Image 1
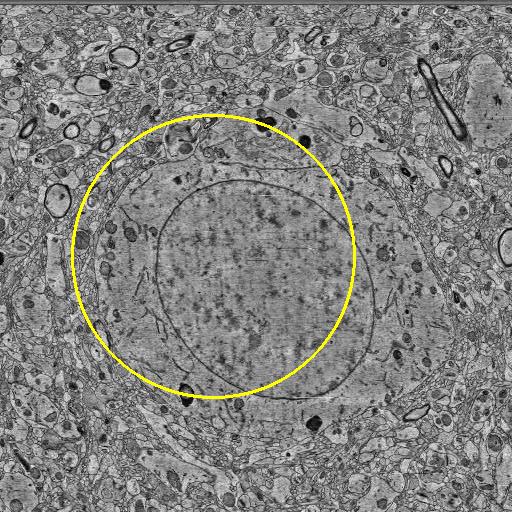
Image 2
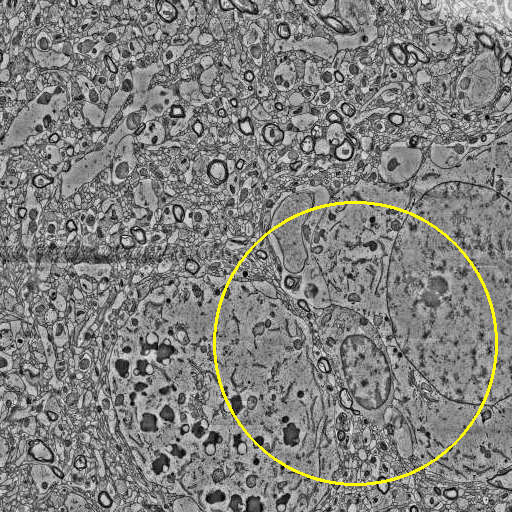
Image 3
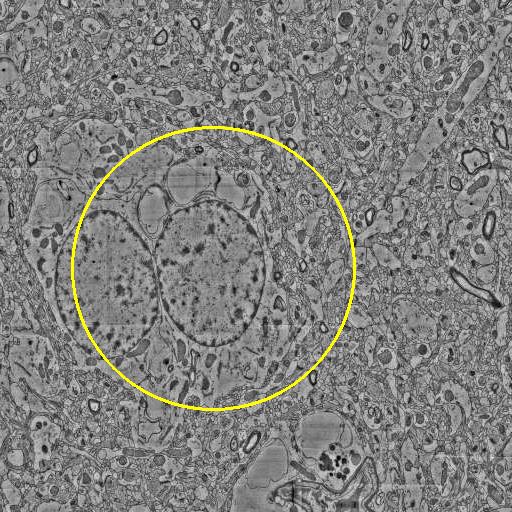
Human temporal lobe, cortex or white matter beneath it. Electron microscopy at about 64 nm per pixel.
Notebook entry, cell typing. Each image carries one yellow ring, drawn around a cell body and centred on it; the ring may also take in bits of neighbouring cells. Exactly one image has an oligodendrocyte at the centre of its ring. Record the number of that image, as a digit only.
2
